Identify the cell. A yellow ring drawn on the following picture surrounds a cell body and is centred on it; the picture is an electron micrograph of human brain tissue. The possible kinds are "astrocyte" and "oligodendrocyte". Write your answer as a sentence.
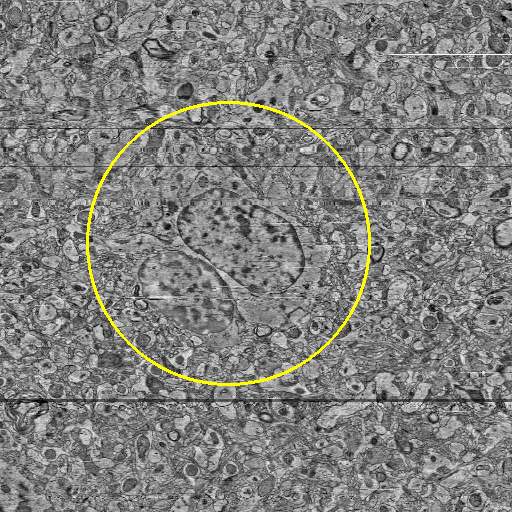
The cell identified by the ring is an astrocyte.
